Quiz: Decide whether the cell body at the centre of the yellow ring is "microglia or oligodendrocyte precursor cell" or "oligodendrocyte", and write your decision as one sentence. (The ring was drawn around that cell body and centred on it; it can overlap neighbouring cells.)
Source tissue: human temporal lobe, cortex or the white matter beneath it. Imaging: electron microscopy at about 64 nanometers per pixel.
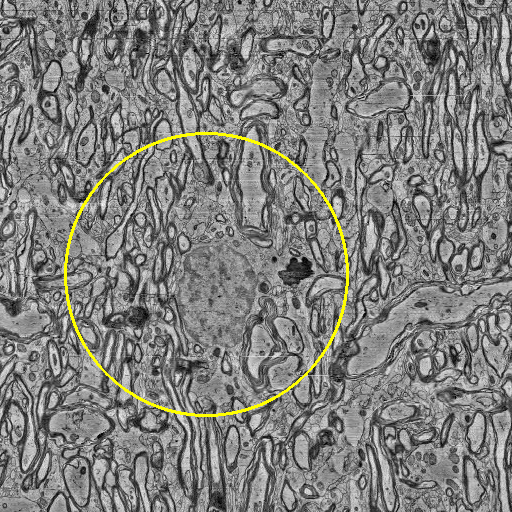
The cell the ring is centred on is an oligodendrocyte.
